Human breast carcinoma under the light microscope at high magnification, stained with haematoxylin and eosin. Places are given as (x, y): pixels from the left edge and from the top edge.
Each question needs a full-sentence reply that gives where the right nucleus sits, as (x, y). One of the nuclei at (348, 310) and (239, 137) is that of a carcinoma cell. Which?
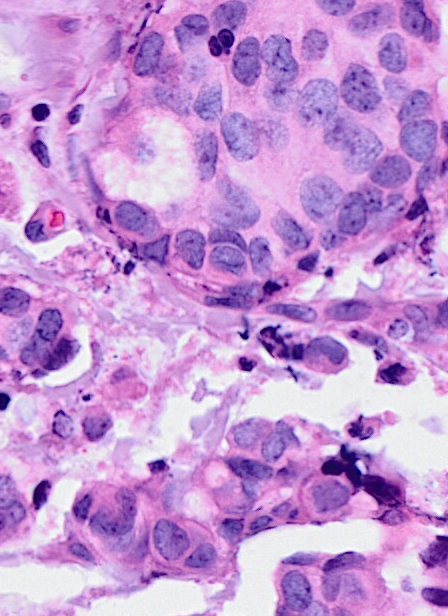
The nucleus at (239, 137) is assigned to a carcinoma cell.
